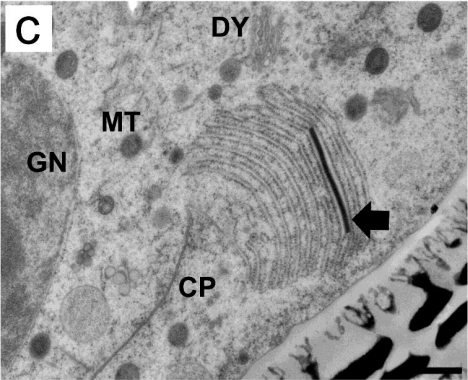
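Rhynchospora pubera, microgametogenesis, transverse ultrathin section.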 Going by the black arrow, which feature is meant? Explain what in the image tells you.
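A straight, very dark rod lies among stacked parallel membrane cisternae. The surrounding cisternae curve in layers around the rod. So: electron-dense material between two of its cisternae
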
